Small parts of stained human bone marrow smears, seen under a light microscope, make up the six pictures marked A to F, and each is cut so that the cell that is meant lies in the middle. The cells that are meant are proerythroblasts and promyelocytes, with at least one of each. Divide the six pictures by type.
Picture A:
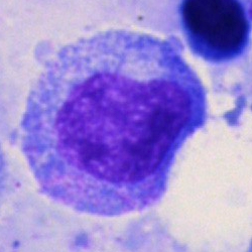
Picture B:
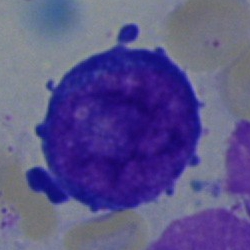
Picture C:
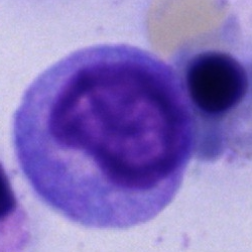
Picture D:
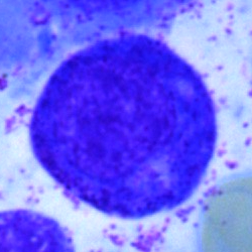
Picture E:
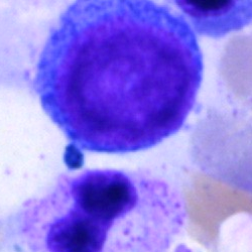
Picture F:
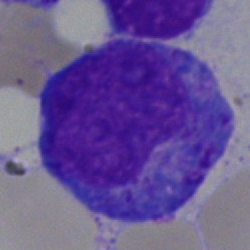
A: promyelocyte
B: proerythroblast
C: promyelocyte
D: promyelocyte
E: proerythroblast
F: promyelocyte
